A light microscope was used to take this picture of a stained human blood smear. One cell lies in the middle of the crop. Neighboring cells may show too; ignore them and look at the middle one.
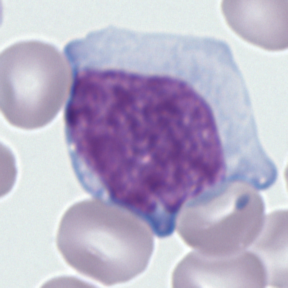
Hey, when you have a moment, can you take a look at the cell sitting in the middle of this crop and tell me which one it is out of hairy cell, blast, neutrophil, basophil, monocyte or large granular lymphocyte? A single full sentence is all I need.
The cell the crop is centered on is a blast.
